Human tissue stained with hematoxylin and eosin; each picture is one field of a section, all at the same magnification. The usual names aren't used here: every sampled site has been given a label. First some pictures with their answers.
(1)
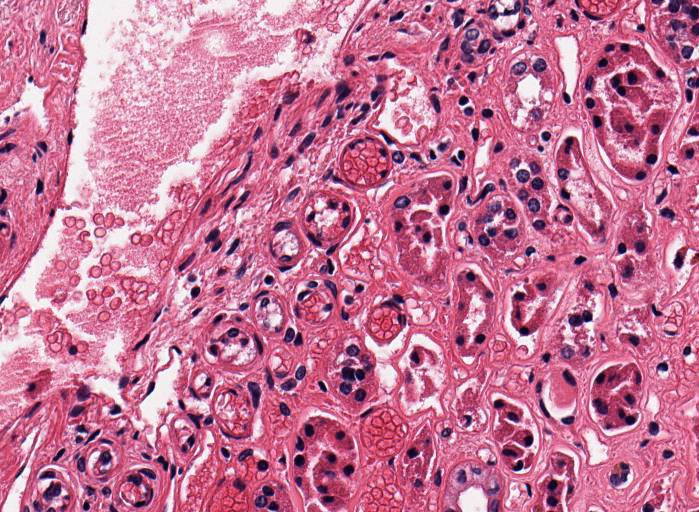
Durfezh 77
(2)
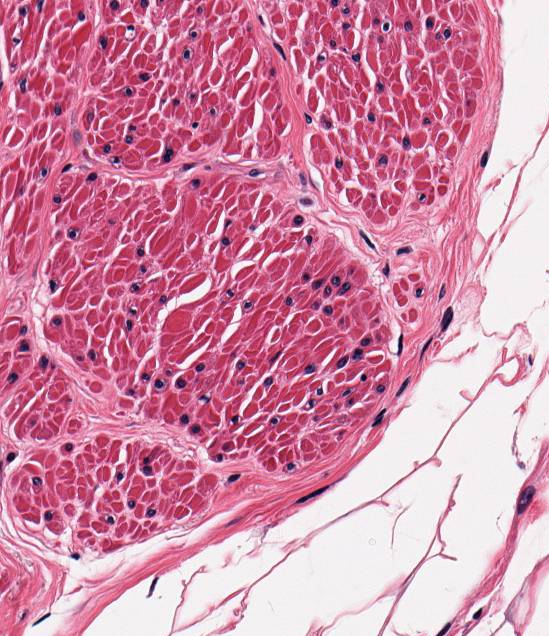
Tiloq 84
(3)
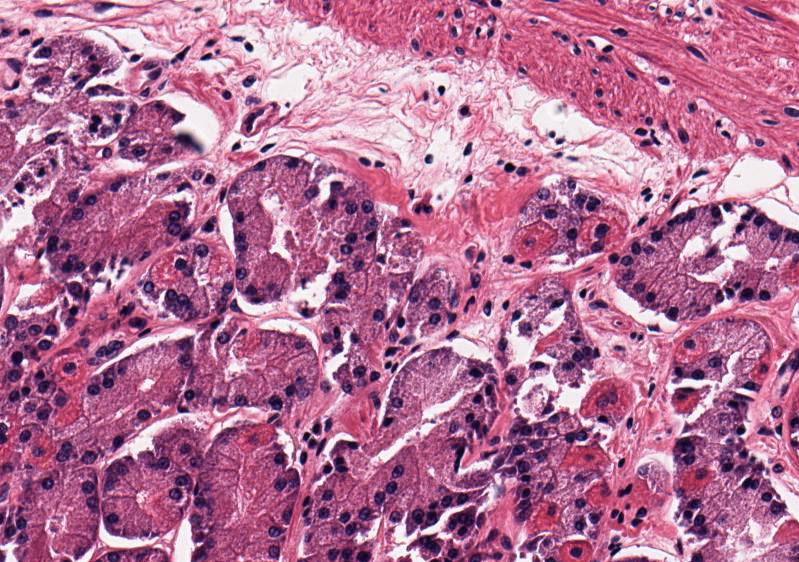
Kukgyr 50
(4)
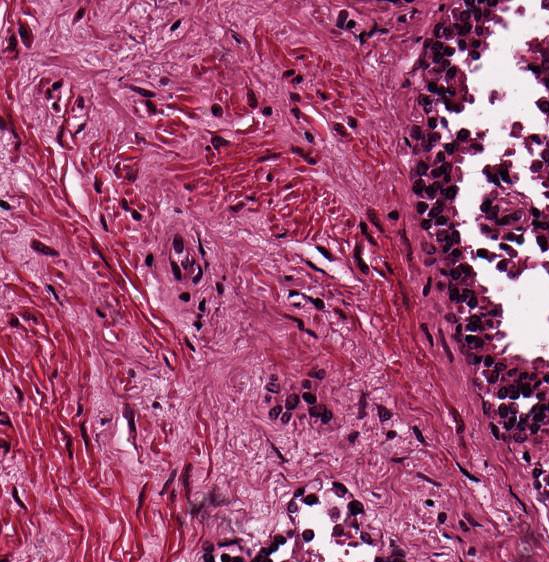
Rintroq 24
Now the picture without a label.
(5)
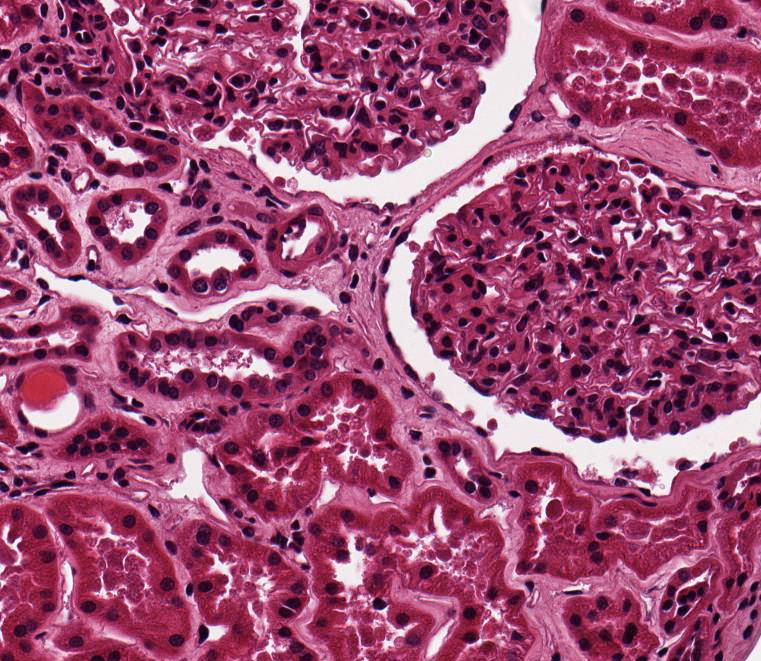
Durfezh 77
